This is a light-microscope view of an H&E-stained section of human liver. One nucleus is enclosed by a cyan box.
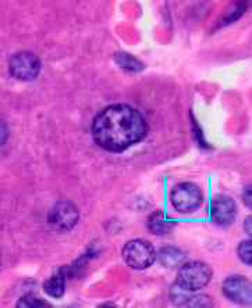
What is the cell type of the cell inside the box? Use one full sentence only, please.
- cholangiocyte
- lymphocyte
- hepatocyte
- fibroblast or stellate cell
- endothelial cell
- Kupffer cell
In cellular terms, the cell inside the box is a cholangiocyte.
